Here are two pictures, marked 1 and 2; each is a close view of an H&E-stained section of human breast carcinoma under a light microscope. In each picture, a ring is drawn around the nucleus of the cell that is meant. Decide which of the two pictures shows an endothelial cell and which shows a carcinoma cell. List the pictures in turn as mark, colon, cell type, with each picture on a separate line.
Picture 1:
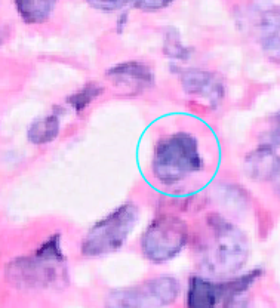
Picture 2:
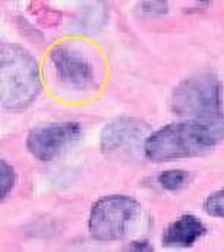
1: carcinoma cell
2: endothelial cell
